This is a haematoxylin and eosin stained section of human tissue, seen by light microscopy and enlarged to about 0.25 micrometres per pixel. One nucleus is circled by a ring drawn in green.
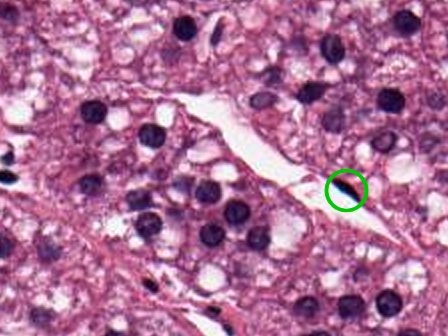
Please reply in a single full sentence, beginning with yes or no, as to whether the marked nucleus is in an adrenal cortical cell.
No, the cell to which the marked nucleus belongs is a supporting cell rather than an adrenal cortical cell.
